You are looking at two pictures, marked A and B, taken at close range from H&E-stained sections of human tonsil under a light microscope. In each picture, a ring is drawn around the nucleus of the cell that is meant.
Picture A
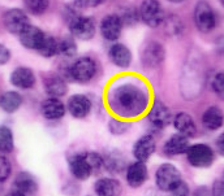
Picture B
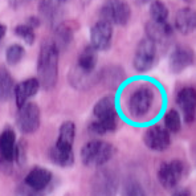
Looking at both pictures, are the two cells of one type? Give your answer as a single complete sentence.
No; the cell in picture A is a proliferating B cell, while the one in picture B is a plasma cell.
